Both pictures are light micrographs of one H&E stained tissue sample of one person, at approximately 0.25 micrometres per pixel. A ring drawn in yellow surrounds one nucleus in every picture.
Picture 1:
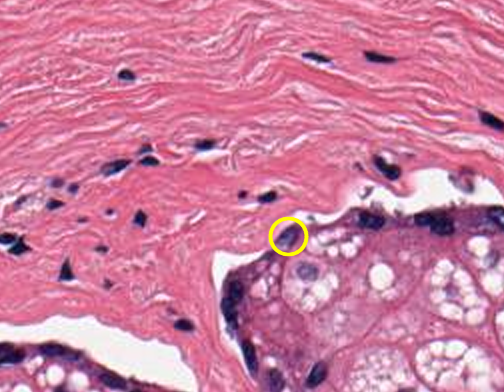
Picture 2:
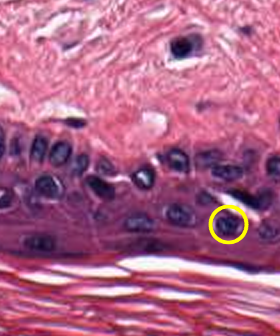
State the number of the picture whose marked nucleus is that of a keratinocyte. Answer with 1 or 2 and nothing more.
2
